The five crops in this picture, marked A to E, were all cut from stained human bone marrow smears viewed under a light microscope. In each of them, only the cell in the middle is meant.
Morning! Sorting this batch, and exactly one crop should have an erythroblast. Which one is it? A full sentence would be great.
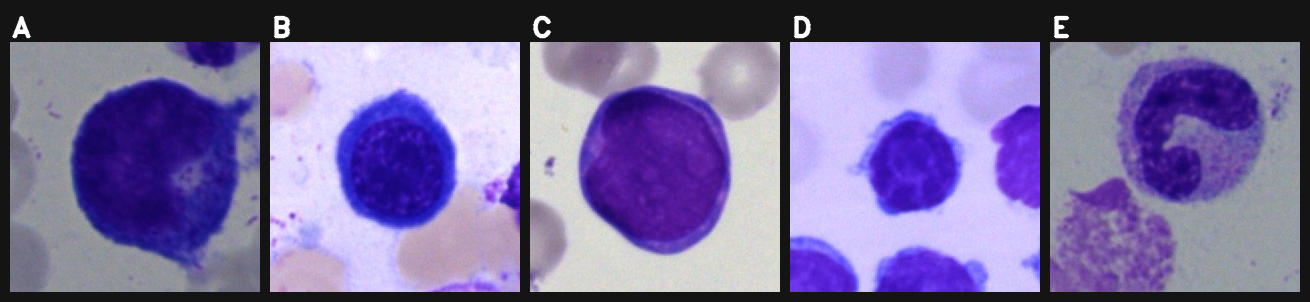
Crop B, and no other, shows an erythroblast.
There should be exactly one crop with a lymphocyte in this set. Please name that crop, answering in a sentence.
Selected crop: D, which is the one that shows a lymphocyte.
